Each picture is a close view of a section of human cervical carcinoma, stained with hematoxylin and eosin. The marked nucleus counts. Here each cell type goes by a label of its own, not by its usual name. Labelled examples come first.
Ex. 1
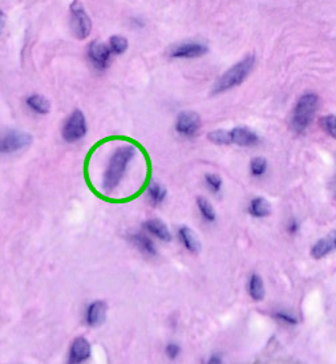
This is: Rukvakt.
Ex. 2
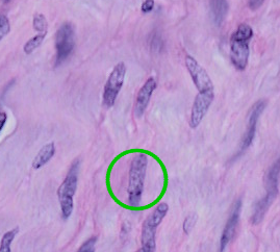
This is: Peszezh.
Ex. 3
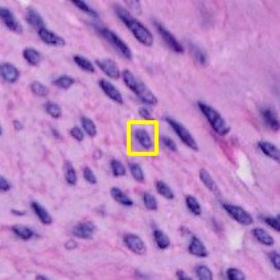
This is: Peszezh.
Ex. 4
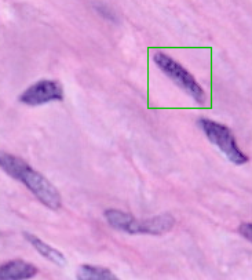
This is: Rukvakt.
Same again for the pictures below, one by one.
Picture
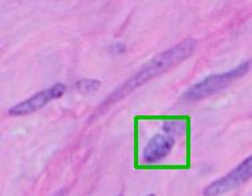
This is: Rukvakt.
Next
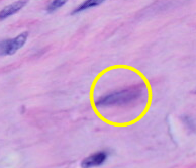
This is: Peszezh.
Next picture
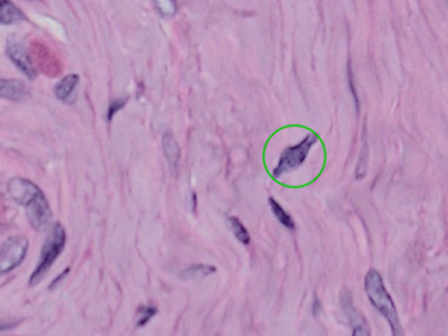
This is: Rukvakt.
